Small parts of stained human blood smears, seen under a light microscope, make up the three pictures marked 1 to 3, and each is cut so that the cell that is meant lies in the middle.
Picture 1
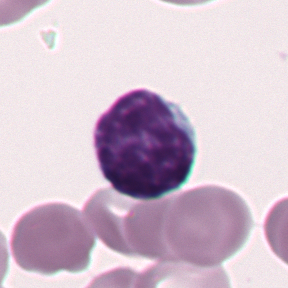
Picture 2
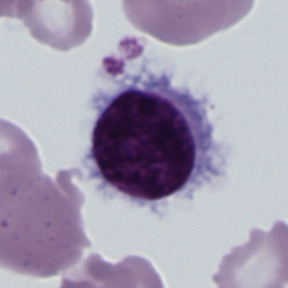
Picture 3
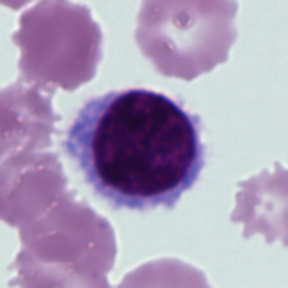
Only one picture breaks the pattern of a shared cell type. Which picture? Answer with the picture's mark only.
1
